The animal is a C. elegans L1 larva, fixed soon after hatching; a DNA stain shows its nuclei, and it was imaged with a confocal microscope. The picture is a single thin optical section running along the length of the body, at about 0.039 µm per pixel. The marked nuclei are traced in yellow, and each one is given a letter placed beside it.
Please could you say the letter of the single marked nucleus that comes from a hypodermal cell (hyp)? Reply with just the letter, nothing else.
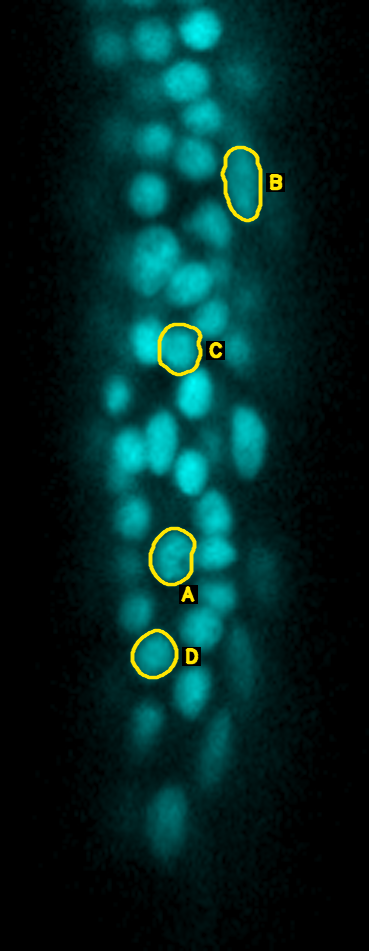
D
